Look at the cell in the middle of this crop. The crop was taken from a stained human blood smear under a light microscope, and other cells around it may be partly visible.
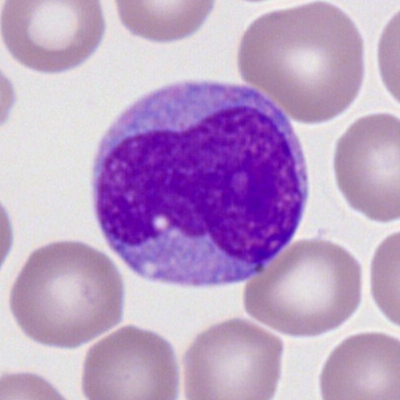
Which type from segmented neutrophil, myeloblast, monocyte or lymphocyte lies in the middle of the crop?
monocyte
